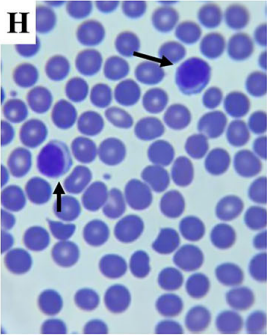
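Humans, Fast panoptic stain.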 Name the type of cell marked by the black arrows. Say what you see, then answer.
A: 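Lymphocytes. A dense dark purple nucleus fills almost the whole cell. Only a thin rim of cytoplasm is visible.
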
